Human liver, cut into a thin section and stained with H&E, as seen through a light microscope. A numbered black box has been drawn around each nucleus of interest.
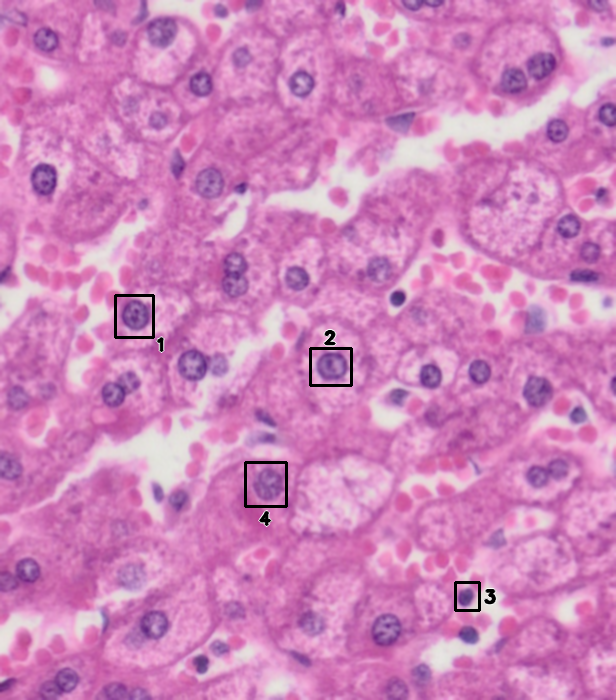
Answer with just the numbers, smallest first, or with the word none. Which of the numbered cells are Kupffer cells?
none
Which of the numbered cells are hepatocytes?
1, 2, 4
